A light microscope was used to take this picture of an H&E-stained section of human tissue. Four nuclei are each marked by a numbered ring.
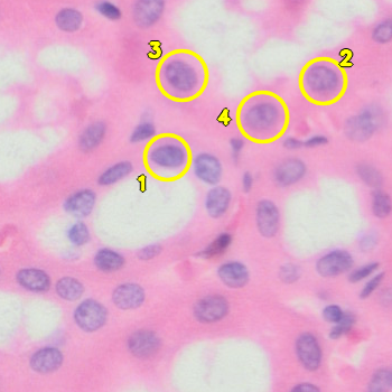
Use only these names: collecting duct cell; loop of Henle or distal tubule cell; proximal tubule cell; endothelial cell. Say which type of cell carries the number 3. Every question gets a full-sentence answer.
The mark numbered 3 indicates the nucleus of a proximal tubule cell.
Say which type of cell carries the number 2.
Cell 2, as marked in the section, is a proximal tubule cell.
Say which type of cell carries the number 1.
What the number 1 marks in this field is a collecting duct cell.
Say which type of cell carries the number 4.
Identified as a proximal tubule cell is the cell bearing the number 4.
